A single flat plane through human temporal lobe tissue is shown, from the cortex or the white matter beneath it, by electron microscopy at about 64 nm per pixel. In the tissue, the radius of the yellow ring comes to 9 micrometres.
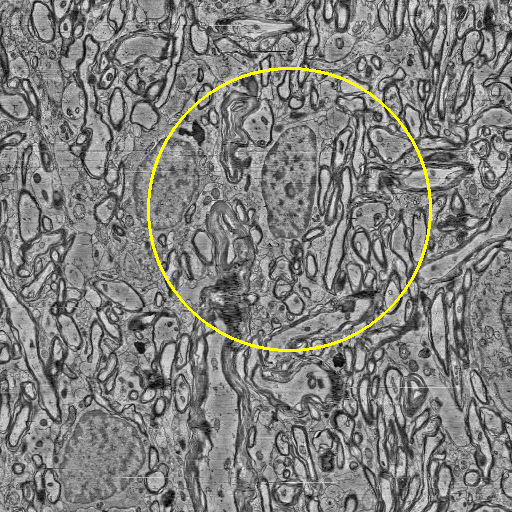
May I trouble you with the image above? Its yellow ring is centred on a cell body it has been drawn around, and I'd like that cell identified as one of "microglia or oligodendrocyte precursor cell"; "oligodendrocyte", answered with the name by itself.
microglia or oligodendrocyte precursor cell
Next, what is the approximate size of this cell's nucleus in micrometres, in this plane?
Roughly 8 micrometres by 4 micrometres, so the nucleus is clearly longer than it is wide in this plane.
